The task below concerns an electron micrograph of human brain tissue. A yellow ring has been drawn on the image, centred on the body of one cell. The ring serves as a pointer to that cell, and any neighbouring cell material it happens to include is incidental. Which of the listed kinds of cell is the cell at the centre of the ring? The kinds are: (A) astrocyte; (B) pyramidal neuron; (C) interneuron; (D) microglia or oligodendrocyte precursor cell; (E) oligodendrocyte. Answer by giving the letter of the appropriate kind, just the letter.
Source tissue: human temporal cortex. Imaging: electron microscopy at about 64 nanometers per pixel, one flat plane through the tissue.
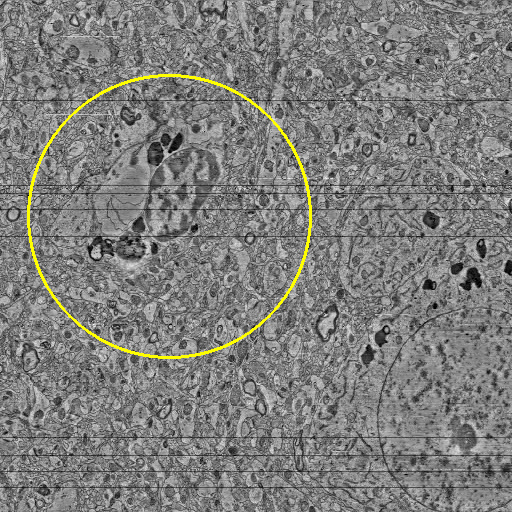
D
